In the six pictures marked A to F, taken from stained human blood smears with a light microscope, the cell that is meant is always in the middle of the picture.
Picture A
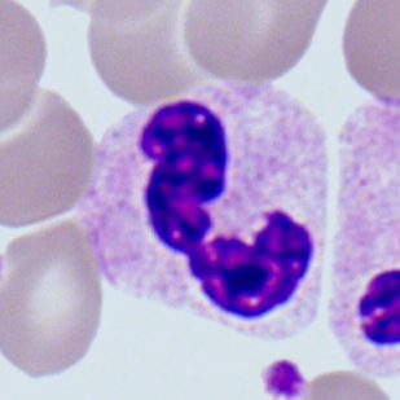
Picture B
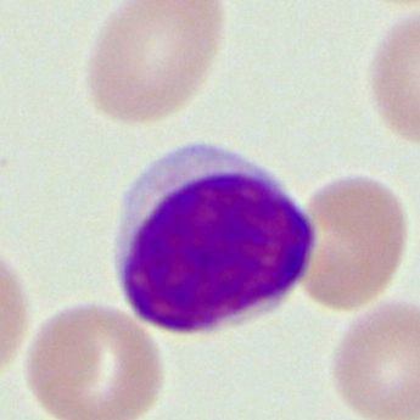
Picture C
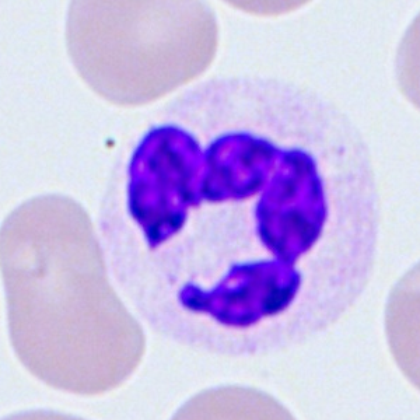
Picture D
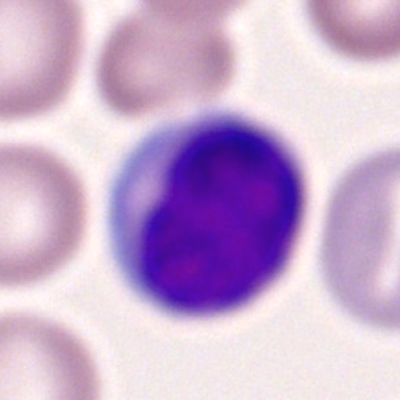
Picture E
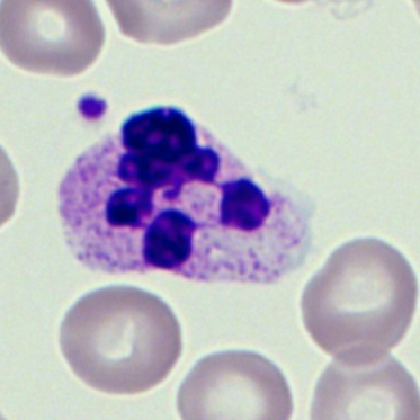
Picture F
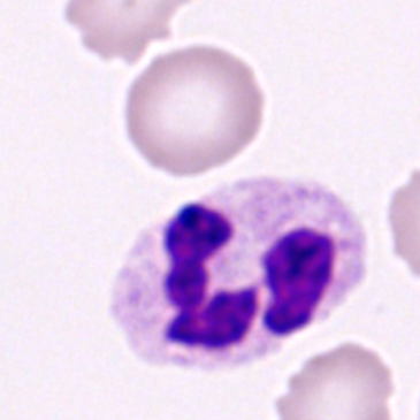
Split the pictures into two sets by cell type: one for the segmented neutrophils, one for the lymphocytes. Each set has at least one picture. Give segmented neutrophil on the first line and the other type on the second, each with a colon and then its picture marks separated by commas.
segmented neutrophil: A, C, E, F
lymphocyte: B, D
